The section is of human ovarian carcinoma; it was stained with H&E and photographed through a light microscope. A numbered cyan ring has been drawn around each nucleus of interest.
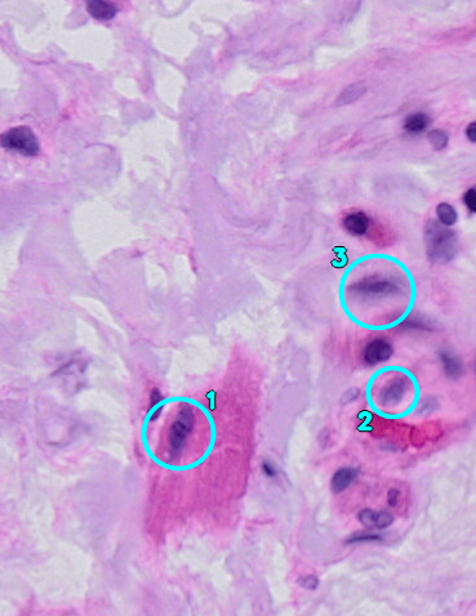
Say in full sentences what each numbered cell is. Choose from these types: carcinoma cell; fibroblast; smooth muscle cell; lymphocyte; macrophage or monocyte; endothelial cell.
Cell 1 is a smooth muscle cell, cell 2 is an endothelial cell and cell 3 is a fibroblast.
